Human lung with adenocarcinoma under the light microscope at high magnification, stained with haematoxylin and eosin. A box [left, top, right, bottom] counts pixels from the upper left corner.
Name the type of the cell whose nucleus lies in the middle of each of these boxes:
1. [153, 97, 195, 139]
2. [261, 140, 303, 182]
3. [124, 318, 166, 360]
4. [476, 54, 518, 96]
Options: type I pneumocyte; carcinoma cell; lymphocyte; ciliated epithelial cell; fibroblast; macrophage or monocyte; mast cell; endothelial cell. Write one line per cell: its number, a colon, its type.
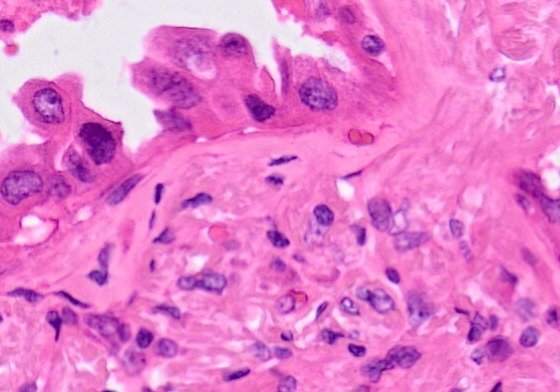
1: carcinoma cell
2: fibroblast
3: lymphocyte
4: fibroblast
